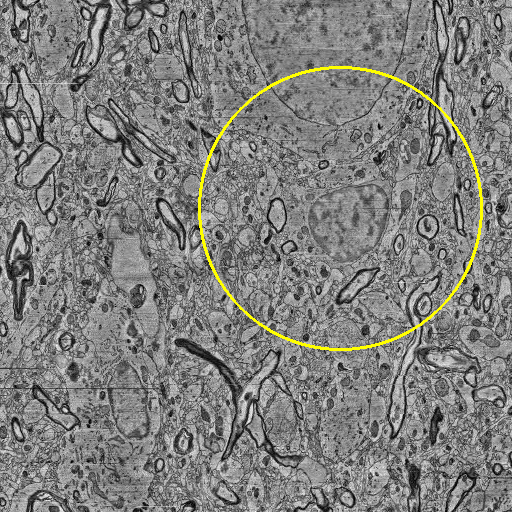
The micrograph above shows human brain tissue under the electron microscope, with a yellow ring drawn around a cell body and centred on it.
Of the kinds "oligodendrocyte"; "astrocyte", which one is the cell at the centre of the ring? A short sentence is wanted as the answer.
The one at the centre of the ring is an oligodendrocyte.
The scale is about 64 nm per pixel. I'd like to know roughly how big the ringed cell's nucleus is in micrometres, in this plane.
About 5 micrometers across, in this plane.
